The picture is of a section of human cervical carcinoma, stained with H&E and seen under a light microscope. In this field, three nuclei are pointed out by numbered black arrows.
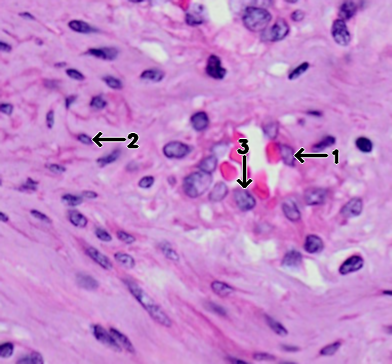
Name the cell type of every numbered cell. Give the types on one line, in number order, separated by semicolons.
endothelial cell; smooth muscle cell; endothelial cell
